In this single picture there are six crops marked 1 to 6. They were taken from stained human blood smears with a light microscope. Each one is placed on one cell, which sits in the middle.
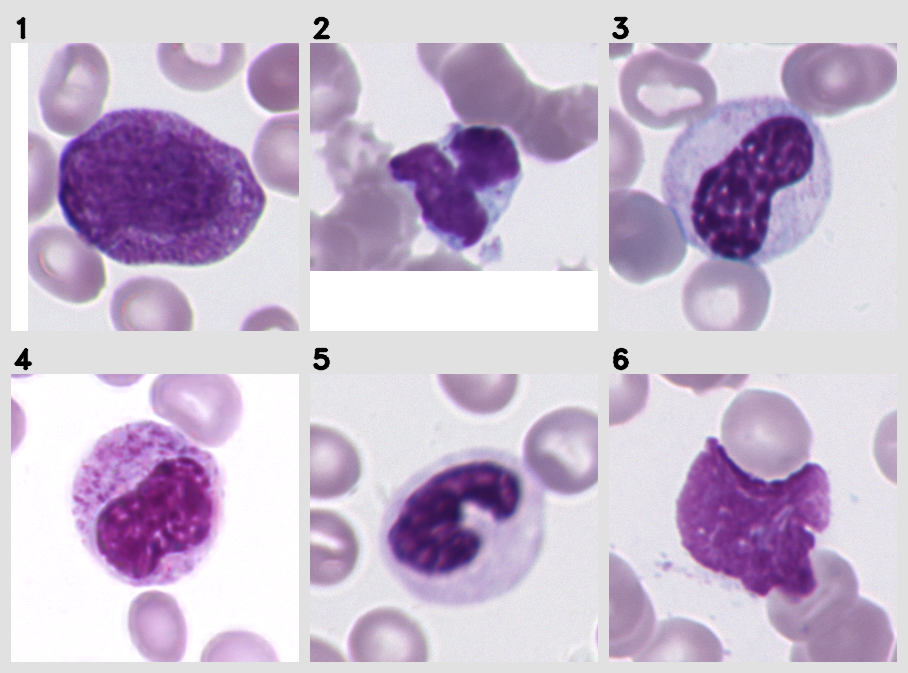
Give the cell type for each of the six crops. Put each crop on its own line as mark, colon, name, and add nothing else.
1: atypical promyelocyte
2: typical lymphocyte
3: band neutrophil
4: metamyelocyte
5: band neutrophil
6: smudge cell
